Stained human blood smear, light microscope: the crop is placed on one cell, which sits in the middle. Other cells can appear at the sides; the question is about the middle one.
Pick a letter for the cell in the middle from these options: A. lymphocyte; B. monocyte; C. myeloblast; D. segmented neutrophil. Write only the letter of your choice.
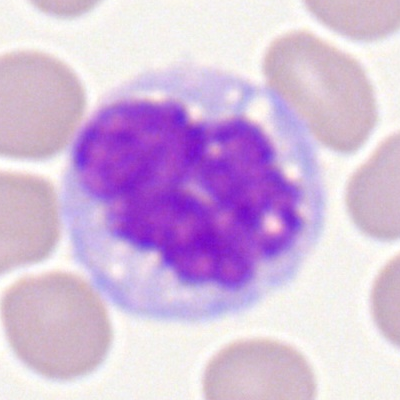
B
